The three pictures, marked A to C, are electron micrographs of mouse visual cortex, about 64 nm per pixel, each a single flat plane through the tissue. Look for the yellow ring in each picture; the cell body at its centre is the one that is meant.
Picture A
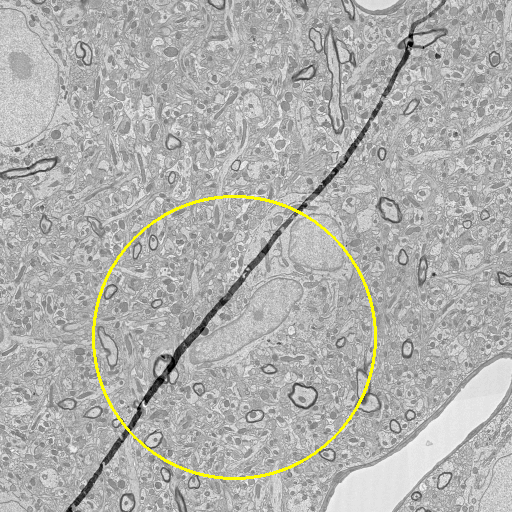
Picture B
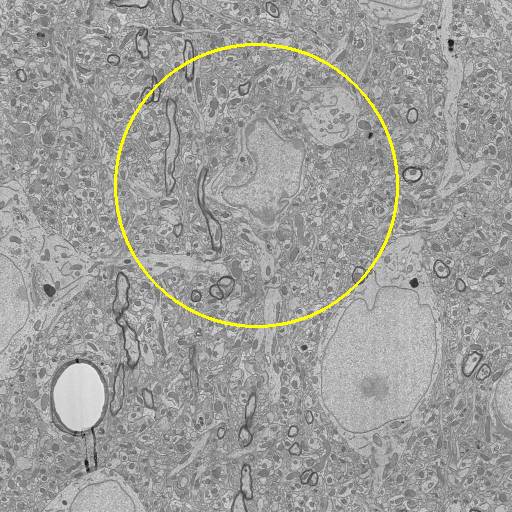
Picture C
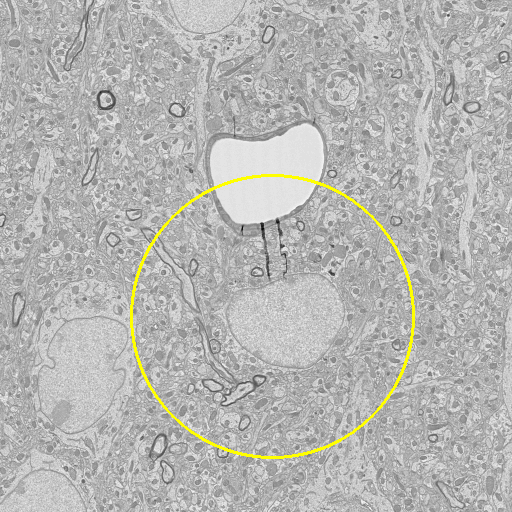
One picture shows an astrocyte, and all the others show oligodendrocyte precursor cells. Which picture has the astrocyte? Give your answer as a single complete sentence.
The picture with the astrocyte is C.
